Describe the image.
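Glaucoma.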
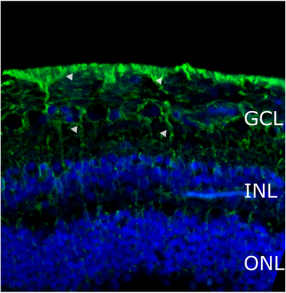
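Section of retina showing Müller cells as bright green radial fibers. At the inner surface their expanded endfeet merge into a continuous green band, from which thick processes descend through the ganglion cell layer, outlining the scattered blue ganglion cell nuclei like a meshwork. Finer green striations continue down through the inner nuclear layer, a band of densely packed blue nuclei, and fade toward the thicker outer nuclear layer, whose blue nuclei are tightly crowded. The glial fibers are strongly and widely stained, giving the inner retina a dense green scaffold.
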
